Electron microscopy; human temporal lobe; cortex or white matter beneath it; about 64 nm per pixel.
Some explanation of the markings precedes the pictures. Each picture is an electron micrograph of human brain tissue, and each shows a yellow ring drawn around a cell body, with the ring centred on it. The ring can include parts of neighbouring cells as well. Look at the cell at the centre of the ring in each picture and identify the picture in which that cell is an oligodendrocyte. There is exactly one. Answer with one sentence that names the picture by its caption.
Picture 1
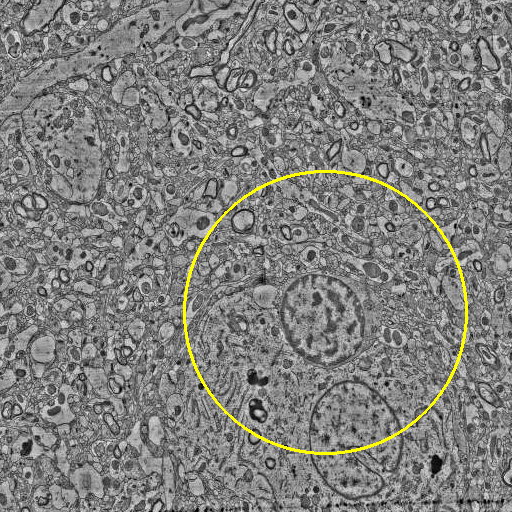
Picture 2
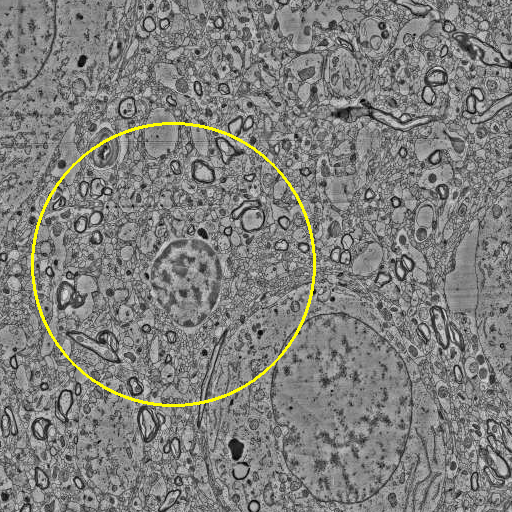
In Picture 1, the cell at the centre of the ring is of that kind.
